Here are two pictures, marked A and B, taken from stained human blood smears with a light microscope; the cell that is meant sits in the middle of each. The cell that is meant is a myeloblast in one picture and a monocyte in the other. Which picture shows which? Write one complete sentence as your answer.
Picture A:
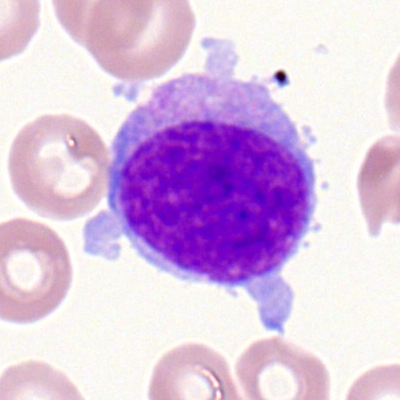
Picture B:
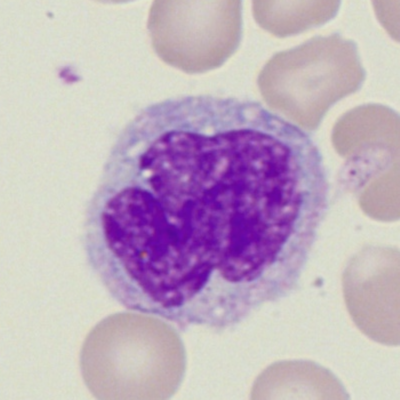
Picture A is of a myeloblast, and picture B is of a monocyte.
